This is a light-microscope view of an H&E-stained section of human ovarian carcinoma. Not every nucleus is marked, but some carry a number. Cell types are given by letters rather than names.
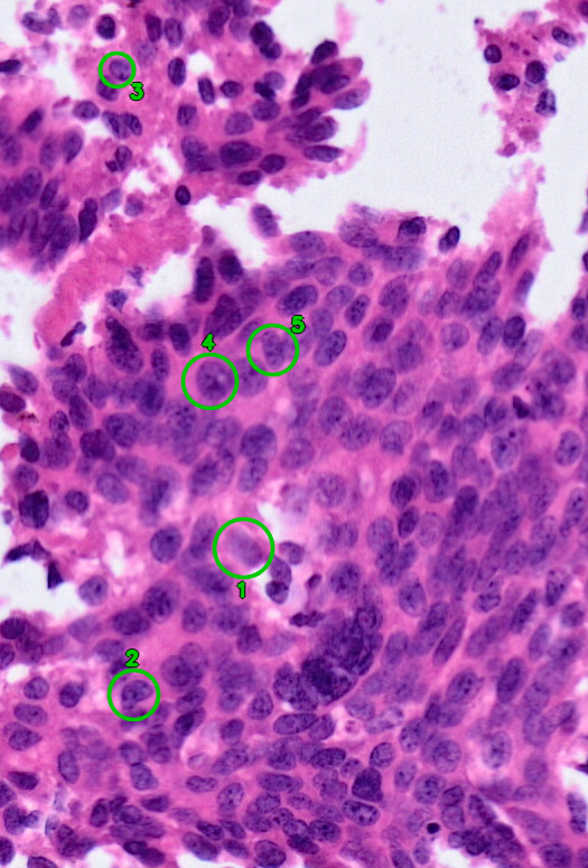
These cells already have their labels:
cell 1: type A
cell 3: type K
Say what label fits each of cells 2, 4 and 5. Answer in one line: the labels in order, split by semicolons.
type K; type A; type A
